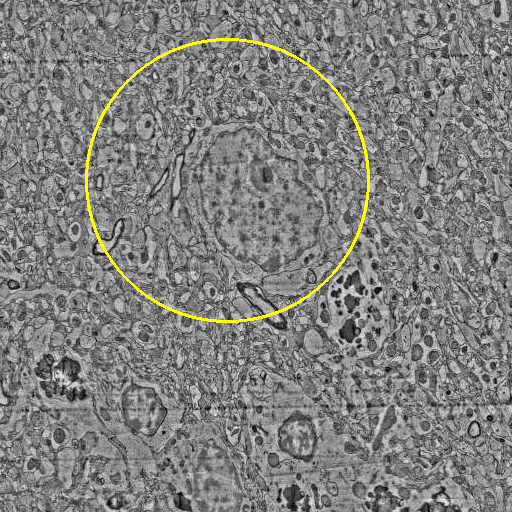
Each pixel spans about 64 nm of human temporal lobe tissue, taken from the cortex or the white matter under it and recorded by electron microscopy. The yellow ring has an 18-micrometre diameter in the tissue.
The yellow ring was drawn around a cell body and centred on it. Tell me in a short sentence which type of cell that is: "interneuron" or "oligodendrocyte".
The cell at the ring's centre is an interneuron.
